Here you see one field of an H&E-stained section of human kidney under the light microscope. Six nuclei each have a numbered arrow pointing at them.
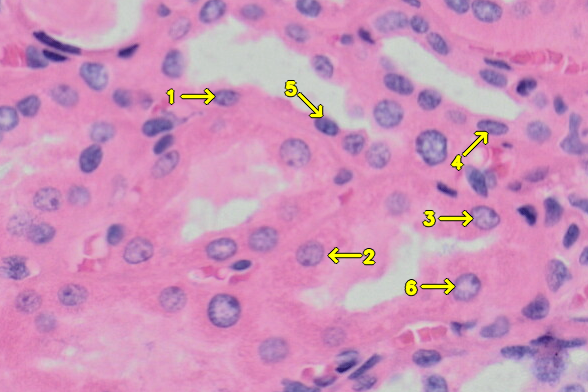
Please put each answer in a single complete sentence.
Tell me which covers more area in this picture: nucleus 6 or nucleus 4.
Nucleus 6 covers more area, about 1.5 times as much as nucleus 4.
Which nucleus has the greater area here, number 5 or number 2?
Number 2 is larger; its area is about 1.5 times that of number 5.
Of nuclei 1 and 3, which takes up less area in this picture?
It is nucleus 1; nucleus 3 has about 1.5 times its area.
